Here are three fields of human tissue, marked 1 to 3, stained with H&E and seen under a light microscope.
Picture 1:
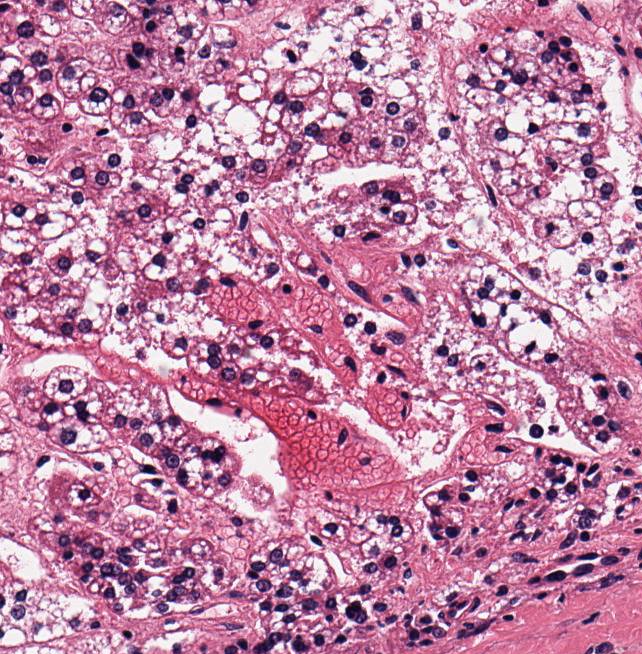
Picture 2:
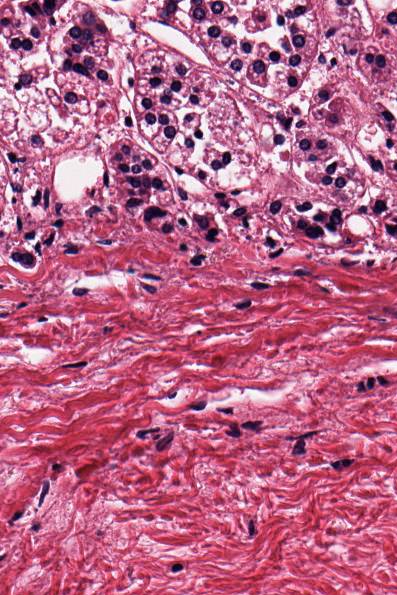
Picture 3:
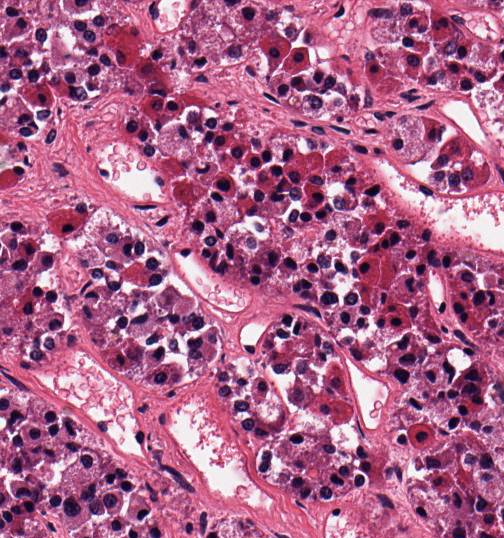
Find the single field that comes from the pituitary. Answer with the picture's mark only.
3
